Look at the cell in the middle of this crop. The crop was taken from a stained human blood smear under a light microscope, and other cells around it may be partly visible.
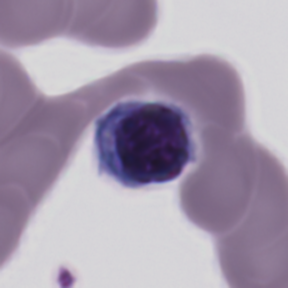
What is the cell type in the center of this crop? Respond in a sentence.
Classification of the middle cell gives a plasma cell.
